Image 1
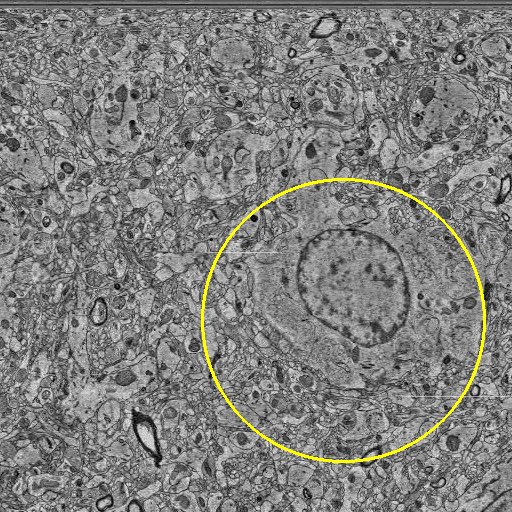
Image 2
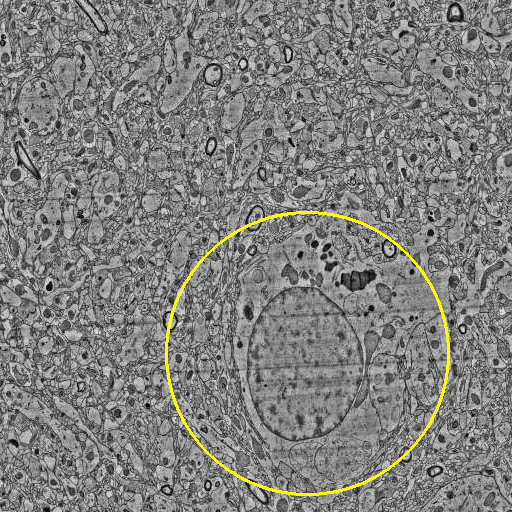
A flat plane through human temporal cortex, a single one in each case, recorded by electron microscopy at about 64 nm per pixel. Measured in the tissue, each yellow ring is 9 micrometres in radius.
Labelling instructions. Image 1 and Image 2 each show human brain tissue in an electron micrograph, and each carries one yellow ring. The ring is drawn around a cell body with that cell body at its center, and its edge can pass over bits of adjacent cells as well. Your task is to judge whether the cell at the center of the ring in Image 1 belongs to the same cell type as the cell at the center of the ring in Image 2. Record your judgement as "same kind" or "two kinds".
same kind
